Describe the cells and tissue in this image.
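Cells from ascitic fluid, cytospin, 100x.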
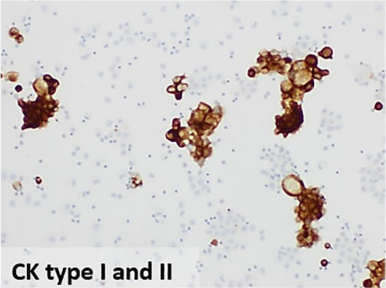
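The stained cells are large and rounded, with the brown colour filling their cytoplasm and some groups stained very darkly. Between the clusters lie many small unstained cells that appear pale blue-grey. The stained groups stand out sharply against the pale background.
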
